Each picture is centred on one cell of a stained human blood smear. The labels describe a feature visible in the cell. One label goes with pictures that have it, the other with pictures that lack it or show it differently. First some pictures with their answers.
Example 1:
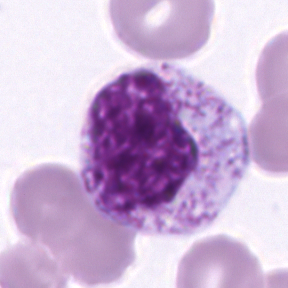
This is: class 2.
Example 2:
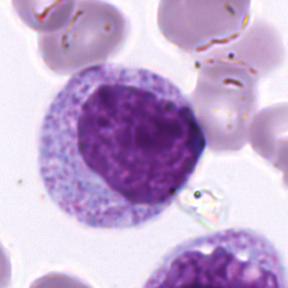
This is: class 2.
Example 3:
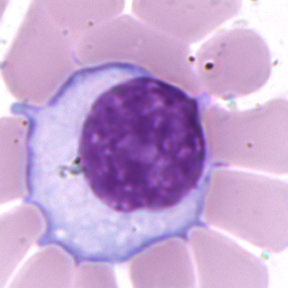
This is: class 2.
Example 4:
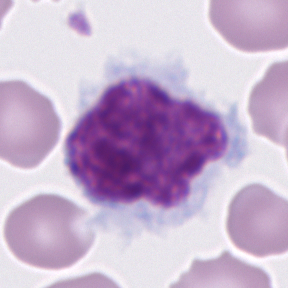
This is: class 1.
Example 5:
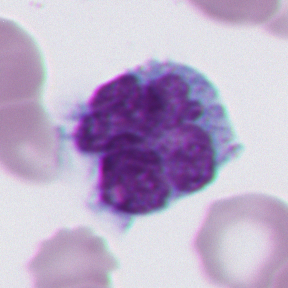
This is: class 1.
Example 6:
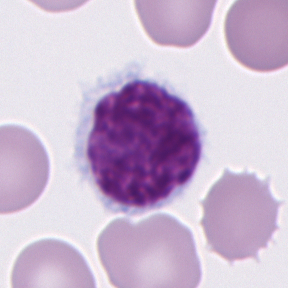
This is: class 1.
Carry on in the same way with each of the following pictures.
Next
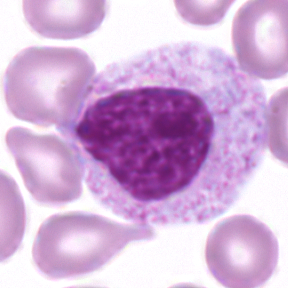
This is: class 2.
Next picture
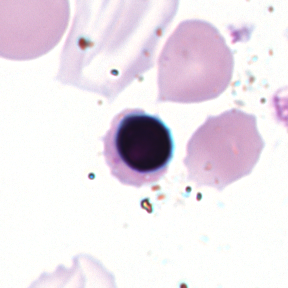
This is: class 1.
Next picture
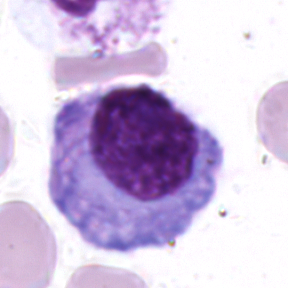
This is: class 2.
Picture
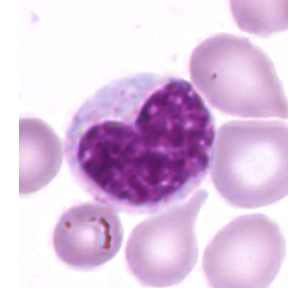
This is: class 1.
